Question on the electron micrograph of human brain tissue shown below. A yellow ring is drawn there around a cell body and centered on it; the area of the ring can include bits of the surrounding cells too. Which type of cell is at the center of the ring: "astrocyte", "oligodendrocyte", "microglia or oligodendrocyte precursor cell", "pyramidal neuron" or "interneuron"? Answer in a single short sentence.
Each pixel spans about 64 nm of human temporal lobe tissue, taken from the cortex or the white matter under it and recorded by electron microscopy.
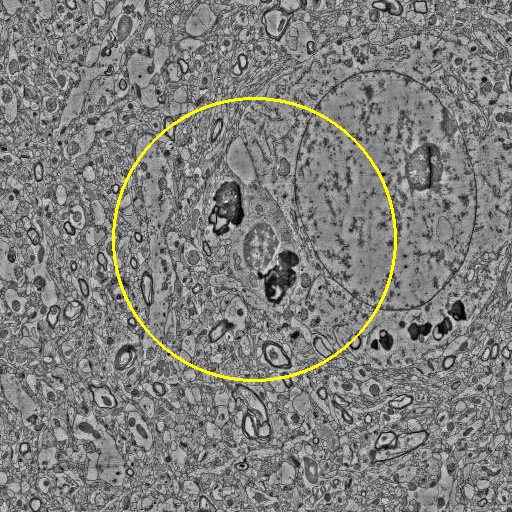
The ring is centered on an oligodendrocyte.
